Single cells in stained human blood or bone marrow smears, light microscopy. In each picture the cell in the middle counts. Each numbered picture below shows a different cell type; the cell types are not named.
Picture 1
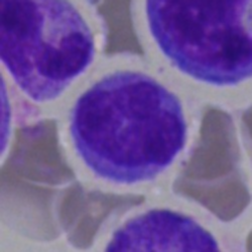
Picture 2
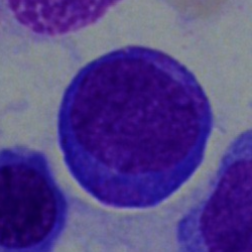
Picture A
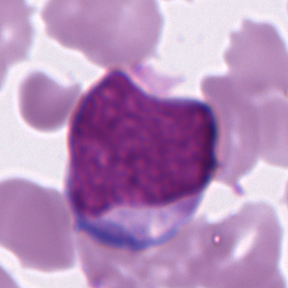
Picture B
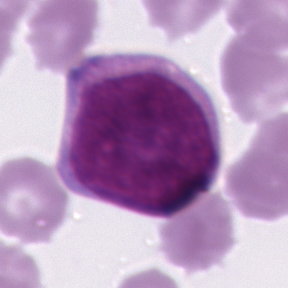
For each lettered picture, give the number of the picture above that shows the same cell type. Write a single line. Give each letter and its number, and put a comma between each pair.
A 2, B 2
